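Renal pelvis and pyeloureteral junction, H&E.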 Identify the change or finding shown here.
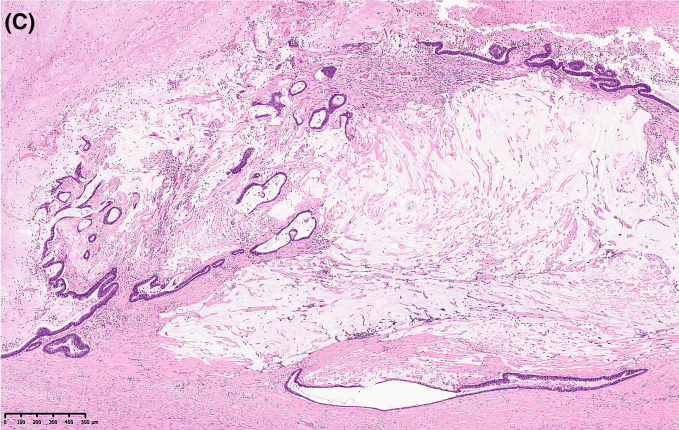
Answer: Mucinous adenocarcinoma with abundant mucin.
